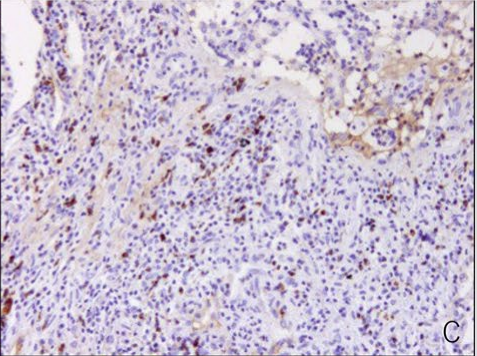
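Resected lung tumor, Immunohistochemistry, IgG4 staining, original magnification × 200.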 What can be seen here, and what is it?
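A fibrous, inflamed tissue holds many unstained cells with blue round or oval nuclei, and among them scattered cells whose cytoplasm is stained brown. Faint brown background colour is seen in the loose tissue near the clear spaces at the top.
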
